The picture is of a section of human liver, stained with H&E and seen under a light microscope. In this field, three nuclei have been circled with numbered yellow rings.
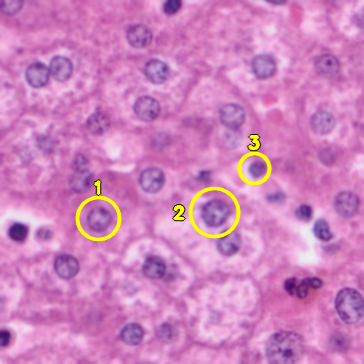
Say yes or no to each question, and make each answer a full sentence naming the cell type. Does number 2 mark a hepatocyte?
Yes, the cell whose number is 2 is a hepatocyte.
